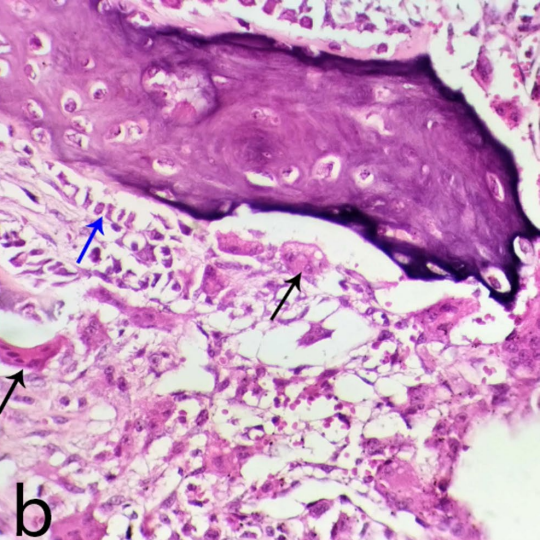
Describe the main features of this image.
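Bone tissue is shown with a dense purple-staining matrix in the upper part, holding cells in lacunae. Beneath it lies loose, cellular tissue with many cells and spaces. Large cells with abundant pink cytoplasm lie near the edge of the matrix, much bigger than their neighbours, and there are rows of smaller dark-nucleated cells nearby.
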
